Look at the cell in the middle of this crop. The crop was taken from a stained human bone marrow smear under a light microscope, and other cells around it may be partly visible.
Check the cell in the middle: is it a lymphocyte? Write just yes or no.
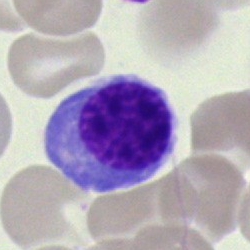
no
